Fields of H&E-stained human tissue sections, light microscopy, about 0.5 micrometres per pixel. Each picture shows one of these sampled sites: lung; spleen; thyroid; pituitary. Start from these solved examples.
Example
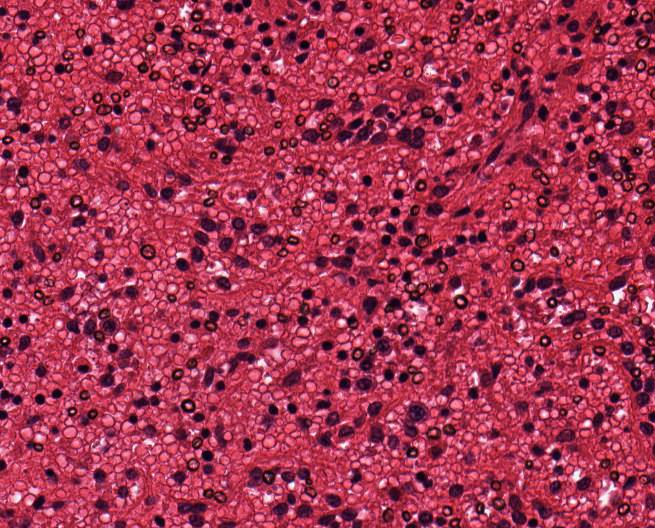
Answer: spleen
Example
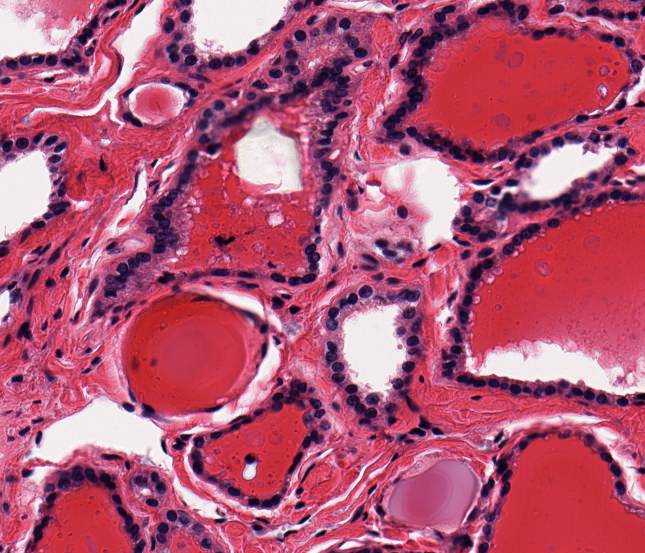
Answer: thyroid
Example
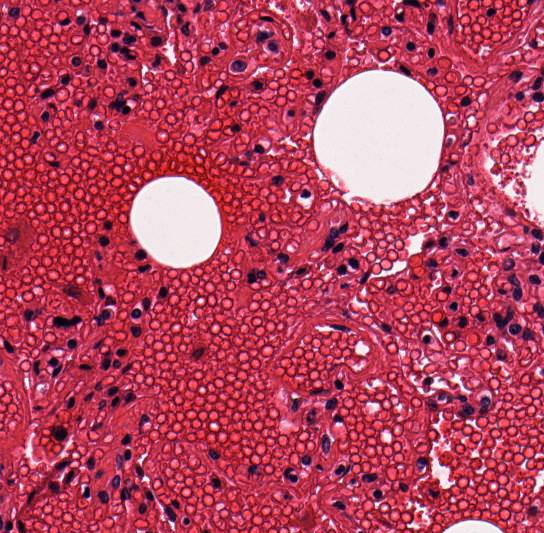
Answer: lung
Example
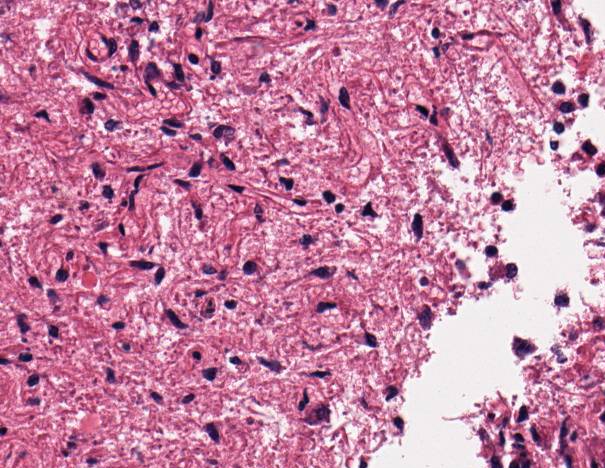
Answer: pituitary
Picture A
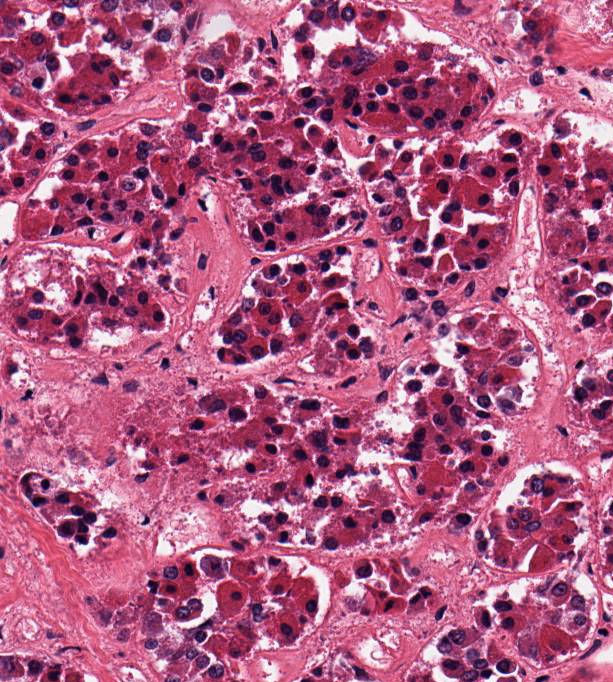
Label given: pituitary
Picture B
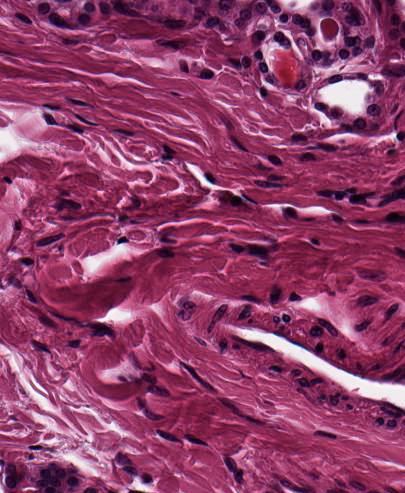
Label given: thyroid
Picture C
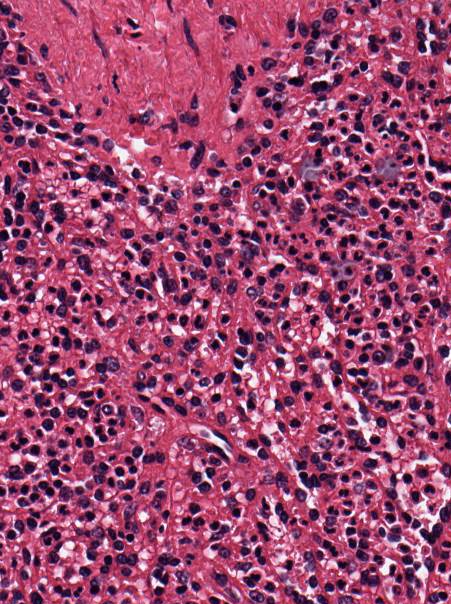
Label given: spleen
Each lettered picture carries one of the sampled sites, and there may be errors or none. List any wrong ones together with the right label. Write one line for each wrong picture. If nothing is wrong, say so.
All labels are correct.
